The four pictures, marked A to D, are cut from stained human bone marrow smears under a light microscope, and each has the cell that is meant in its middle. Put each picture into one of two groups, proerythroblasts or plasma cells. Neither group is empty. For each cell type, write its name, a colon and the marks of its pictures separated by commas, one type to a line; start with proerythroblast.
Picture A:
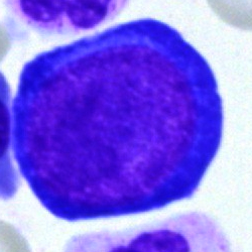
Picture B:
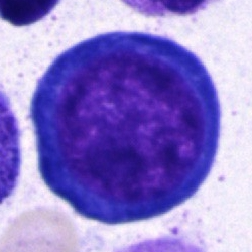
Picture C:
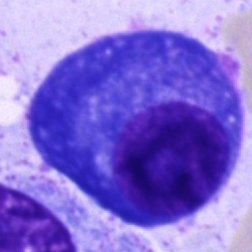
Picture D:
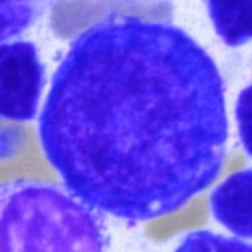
proerythroblast: A, B, D
plasma cell: C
